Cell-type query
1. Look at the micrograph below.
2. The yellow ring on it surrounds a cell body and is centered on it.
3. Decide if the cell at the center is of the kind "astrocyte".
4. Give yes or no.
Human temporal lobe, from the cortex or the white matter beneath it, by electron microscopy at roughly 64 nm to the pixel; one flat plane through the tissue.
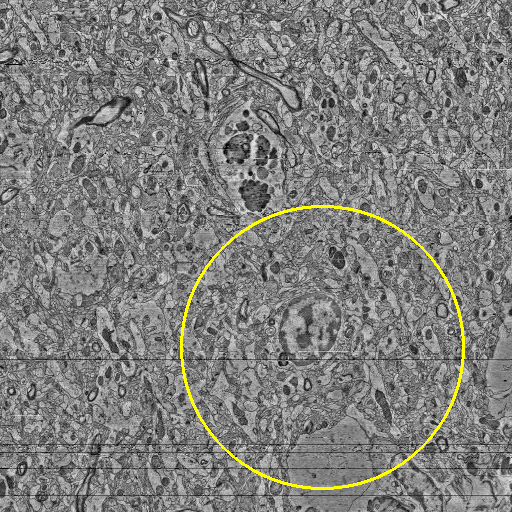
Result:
no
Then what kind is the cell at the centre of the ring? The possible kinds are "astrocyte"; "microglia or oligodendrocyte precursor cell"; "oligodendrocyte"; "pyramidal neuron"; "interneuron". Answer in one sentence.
The answer is that the ringed cell is a microglial cell or oligodendrocyte precursor cell.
